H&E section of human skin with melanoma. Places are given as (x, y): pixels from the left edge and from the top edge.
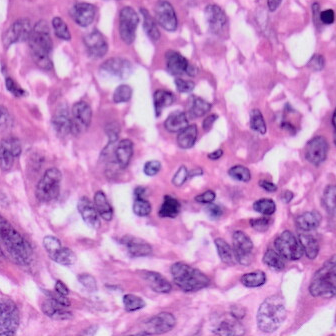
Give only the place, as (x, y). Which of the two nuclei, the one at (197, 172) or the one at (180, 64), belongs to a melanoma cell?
(180, 64)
